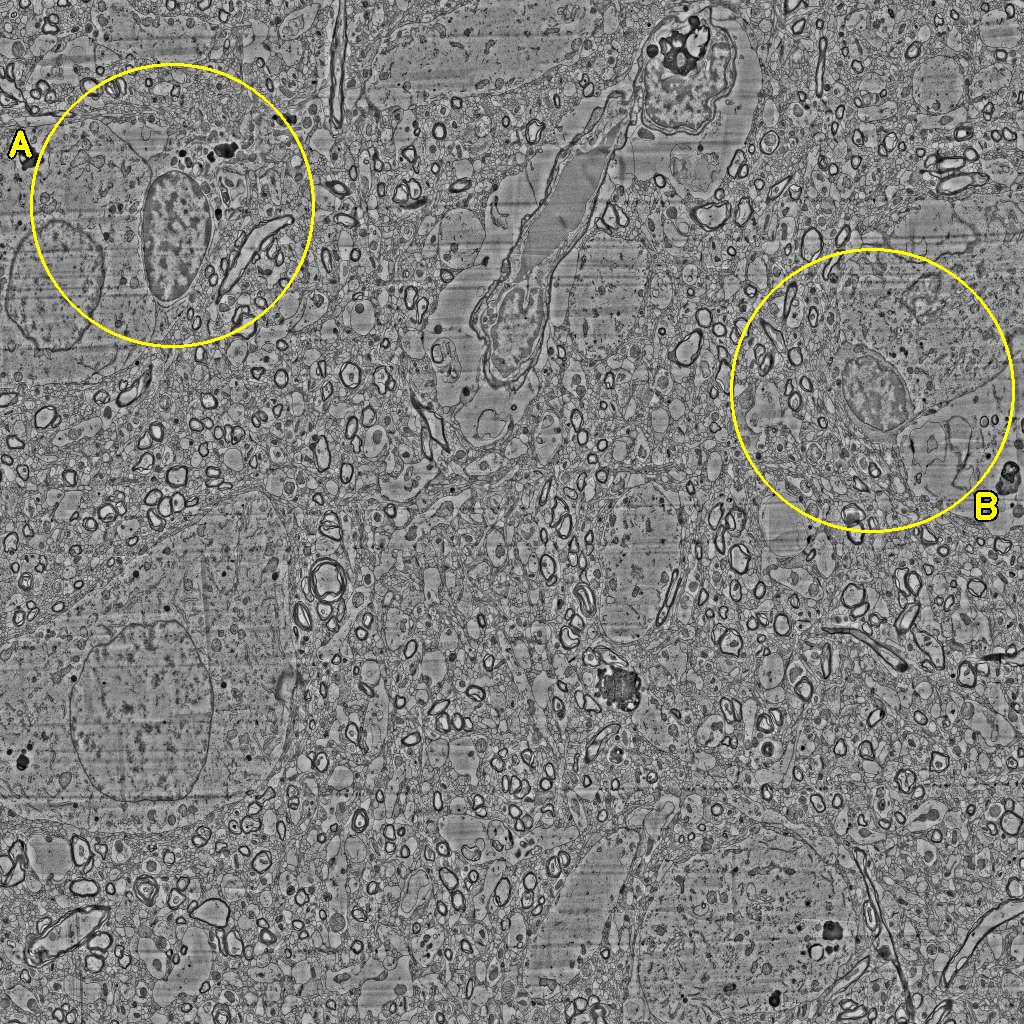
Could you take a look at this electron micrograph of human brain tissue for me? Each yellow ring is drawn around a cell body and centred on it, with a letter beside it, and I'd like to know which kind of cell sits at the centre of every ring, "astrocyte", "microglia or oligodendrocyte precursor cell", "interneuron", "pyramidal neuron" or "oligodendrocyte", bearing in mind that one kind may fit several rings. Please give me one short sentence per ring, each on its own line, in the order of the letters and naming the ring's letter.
Ring A is centred on a microglial cell or oligodendrocyte precursor cell.
Ring B is centred on an oligodendrocyte.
